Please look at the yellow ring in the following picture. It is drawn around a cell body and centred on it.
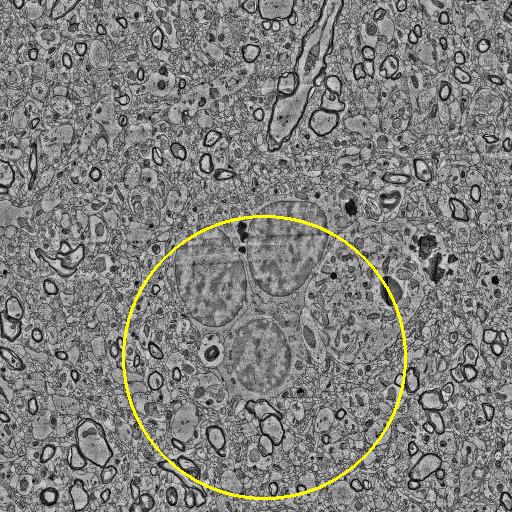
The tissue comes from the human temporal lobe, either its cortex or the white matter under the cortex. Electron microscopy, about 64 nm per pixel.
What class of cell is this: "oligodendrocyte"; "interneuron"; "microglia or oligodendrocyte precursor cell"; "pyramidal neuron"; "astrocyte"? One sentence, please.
The ring surrounds the cell body of an oligodendrocyte.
